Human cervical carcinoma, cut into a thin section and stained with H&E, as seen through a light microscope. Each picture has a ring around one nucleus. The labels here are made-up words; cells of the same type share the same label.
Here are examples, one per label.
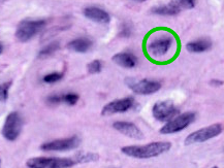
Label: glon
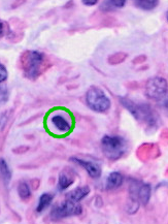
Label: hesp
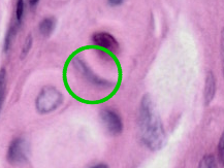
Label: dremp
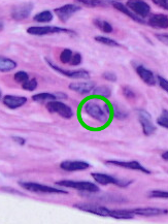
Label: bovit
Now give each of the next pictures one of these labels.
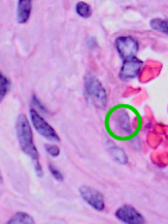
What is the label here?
bovit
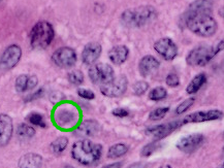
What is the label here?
dremp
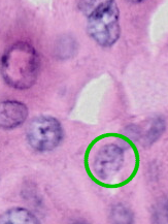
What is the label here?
dremp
